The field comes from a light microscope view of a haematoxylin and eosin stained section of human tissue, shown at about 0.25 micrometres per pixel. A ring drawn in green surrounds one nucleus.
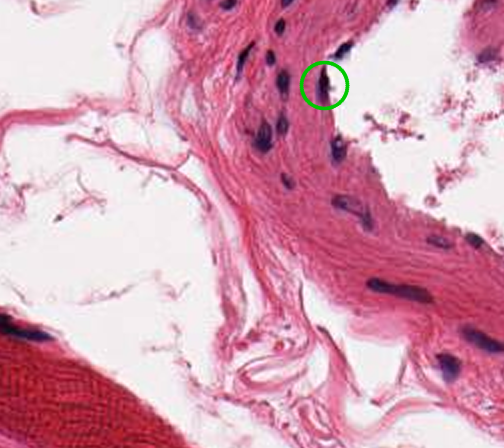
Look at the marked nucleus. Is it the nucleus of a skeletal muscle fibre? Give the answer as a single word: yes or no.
no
